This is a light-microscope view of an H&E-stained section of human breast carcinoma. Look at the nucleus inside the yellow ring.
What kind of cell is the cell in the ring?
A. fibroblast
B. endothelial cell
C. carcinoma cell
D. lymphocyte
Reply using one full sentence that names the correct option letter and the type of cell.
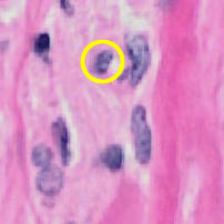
Option B is correct in stating that the cell in the ring is an endothelial cell.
